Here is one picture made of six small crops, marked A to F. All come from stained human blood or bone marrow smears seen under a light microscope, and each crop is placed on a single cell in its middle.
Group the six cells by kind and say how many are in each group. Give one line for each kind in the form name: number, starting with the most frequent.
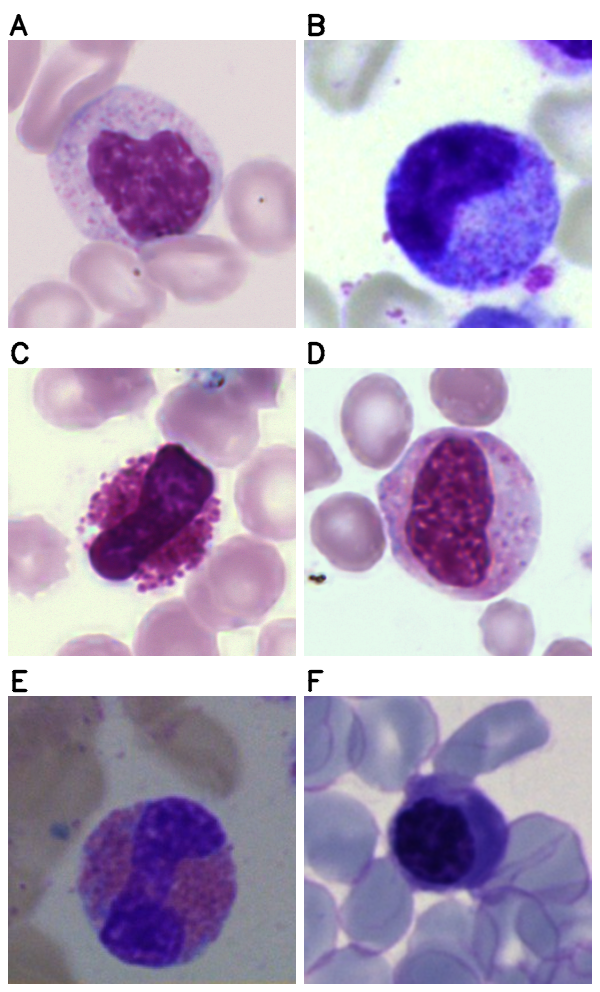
metamyelocyte: 3
eosinophil: 2
erythroblast: 1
